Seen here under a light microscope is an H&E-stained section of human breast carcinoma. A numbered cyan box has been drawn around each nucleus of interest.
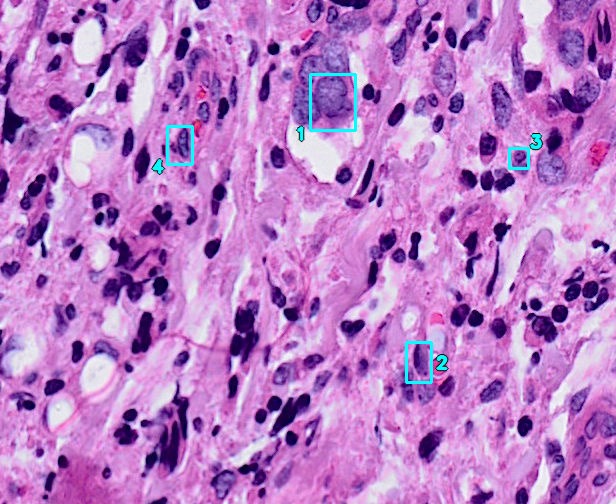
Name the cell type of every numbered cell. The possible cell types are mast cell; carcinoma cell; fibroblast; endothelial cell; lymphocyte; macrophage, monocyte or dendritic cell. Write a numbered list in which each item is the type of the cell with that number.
1. carcinoma cell
2. endothelial cell
3. macrophage, monocyte or dendritic cell
4. endothelial cell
